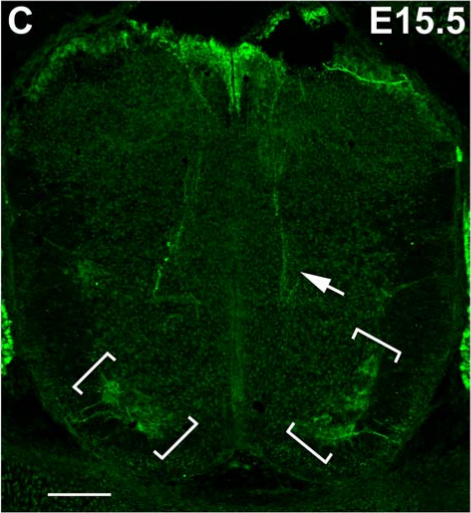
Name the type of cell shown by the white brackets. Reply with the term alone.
Ventral motor neurons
